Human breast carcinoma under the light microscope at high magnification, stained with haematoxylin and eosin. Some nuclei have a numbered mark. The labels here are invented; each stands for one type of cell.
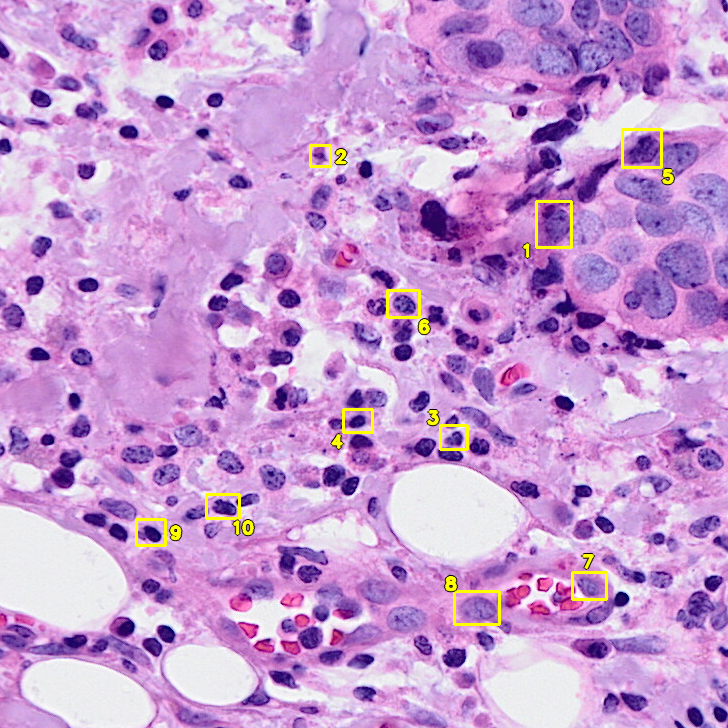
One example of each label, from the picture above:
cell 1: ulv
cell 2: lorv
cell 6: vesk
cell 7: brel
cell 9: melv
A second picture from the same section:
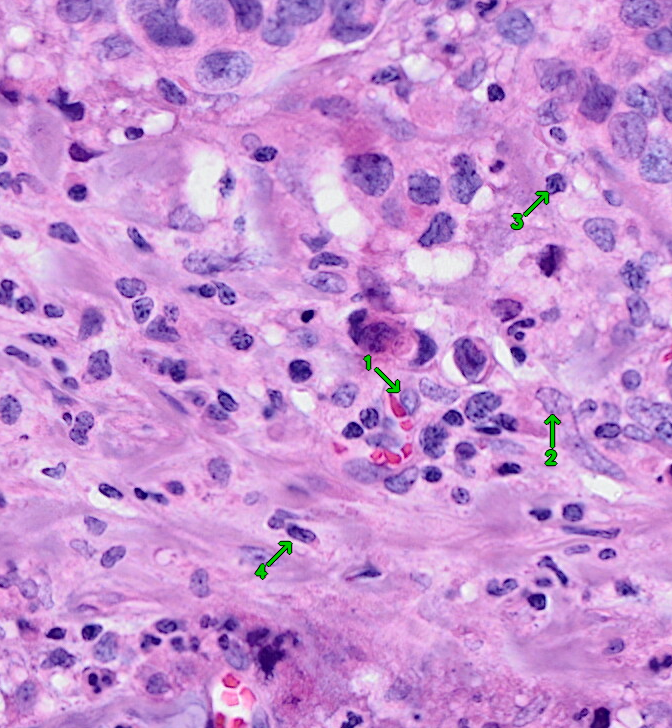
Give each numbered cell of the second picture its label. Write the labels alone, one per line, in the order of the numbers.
brel
lorv
melv
melv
